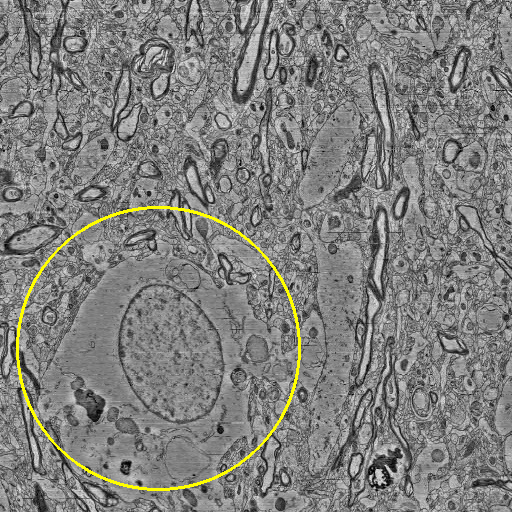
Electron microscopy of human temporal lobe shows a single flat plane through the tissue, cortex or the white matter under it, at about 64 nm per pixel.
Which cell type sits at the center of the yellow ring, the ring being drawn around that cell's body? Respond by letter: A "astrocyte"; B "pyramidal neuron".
A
